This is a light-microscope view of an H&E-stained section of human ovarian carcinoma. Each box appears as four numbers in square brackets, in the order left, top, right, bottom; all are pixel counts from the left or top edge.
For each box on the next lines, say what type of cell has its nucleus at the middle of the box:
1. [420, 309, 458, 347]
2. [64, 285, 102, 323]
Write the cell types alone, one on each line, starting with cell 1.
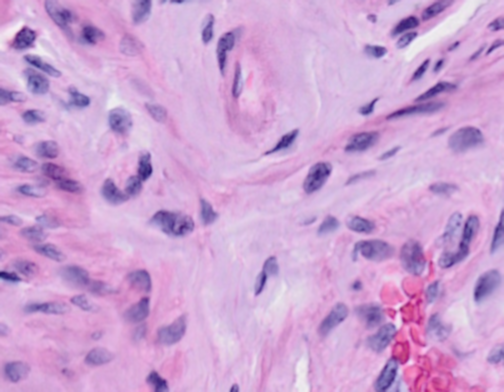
endothelial cell
smooth muscle cell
